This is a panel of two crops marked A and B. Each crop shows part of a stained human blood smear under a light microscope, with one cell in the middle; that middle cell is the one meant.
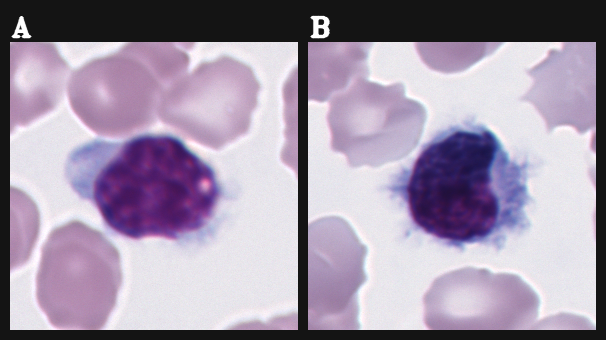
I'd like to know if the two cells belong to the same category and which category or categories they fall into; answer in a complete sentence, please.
Yes, it is hairy cells that occupy the middle of both crops.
